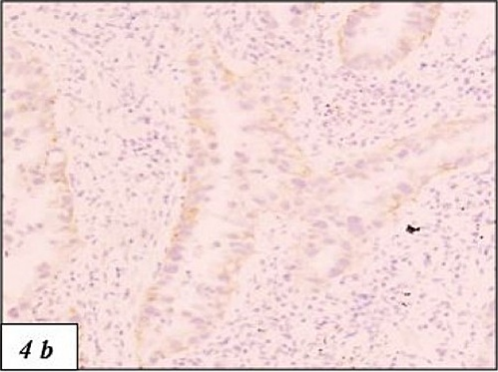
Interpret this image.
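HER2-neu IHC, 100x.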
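Elongated glands are lined by tall tumour cells that show faint brown staining along their cell membranes, weaker and less even than a strong outline. Their nuclei are blue, oval and crowded. Between the glands lies a cellular stroma with many small blue nuclei and no brown stain.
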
